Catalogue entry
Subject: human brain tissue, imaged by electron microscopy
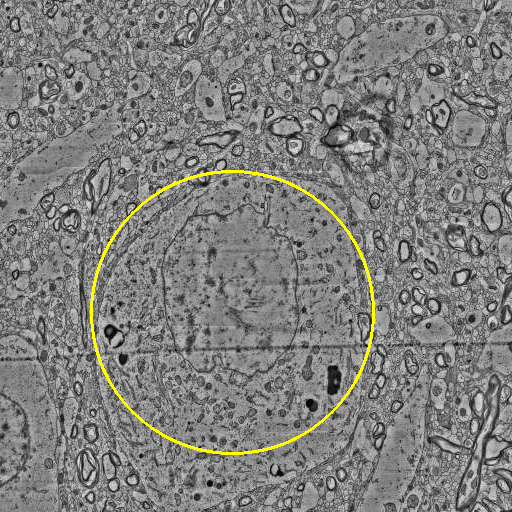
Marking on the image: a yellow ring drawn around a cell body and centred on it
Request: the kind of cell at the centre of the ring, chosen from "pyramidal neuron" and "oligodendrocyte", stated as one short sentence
The ring has a pyramidal neuron at its centre.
